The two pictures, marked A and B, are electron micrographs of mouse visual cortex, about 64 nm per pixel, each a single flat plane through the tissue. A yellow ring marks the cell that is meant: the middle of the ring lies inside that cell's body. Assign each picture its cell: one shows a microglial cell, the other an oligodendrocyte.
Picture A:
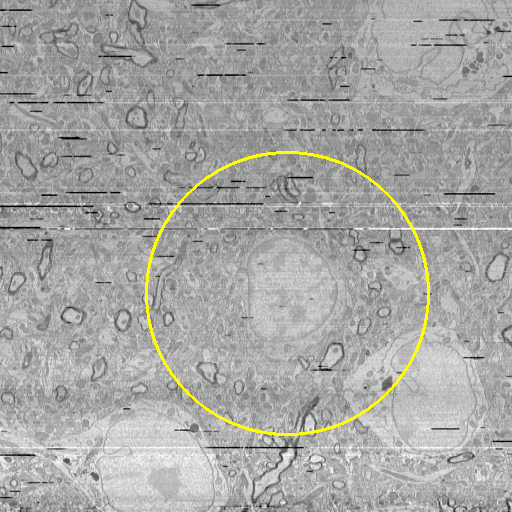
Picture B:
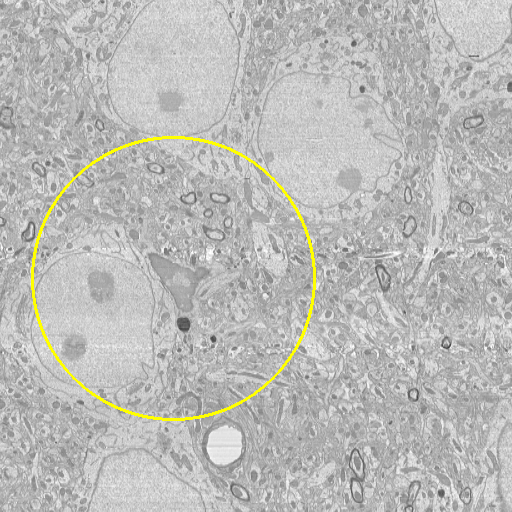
Picture B shows a microglial cell, while picture A shows an oligodendrocyte.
